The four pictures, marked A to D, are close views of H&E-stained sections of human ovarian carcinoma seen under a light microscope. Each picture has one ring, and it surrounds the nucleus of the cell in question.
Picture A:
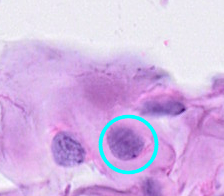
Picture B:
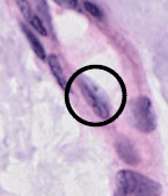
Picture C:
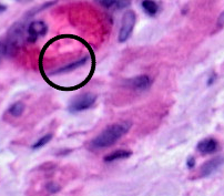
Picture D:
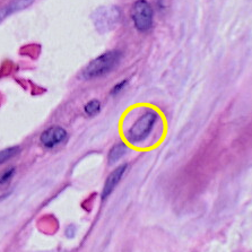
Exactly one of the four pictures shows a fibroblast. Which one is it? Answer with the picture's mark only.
A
